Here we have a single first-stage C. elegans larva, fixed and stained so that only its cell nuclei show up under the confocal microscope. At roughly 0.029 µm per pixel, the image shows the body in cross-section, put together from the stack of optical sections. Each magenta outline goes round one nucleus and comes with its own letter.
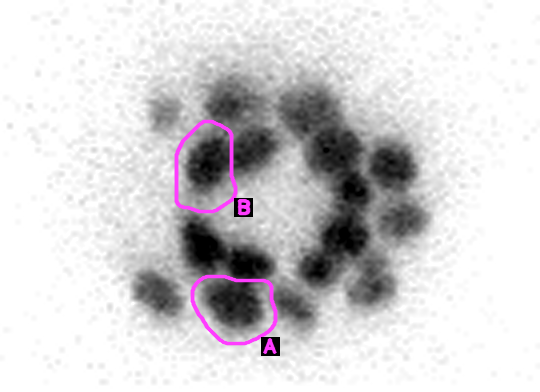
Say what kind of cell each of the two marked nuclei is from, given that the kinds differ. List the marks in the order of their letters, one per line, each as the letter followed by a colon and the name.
A: neuron
B: GLR cell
